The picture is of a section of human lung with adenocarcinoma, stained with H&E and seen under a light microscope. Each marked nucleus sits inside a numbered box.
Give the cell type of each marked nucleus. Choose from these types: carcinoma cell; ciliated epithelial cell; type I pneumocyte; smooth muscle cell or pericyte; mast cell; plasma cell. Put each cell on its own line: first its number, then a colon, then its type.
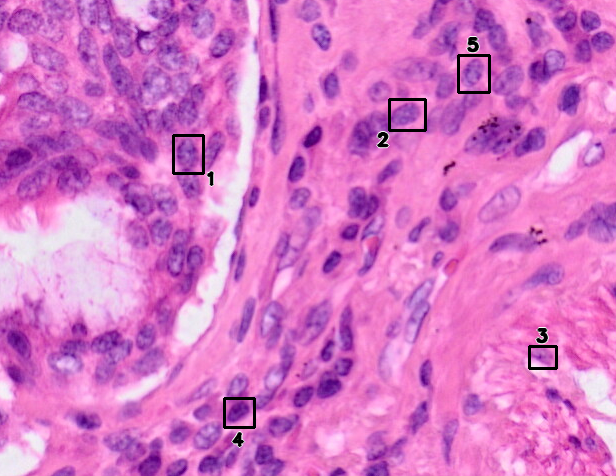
1: ciliated epithelial cell
2: mast cell
3: smooth muscle cell or pericyte
4: plasma cell
5: mast cell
